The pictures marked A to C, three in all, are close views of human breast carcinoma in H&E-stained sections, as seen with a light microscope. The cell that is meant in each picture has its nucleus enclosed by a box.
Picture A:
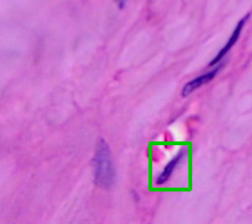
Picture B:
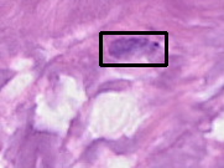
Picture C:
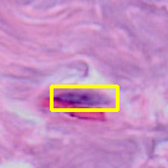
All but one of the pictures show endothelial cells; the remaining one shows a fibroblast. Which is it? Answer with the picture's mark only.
B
